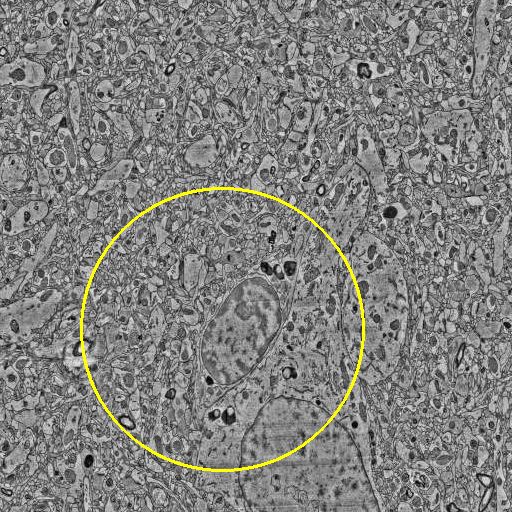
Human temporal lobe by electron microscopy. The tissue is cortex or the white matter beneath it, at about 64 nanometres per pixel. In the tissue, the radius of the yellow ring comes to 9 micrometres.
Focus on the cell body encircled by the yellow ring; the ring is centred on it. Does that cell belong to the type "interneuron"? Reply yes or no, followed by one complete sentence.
No, the cell lying at the centre of the ring in the picture is another type.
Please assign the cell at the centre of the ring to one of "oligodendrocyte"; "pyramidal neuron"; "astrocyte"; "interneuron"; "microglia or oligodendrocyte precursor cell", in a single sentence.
Instead, the ring surrounds a microglial cell or oligodendrocyte precursor cell in this picture.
